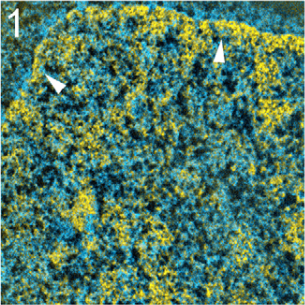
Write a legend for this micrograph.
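Chromatin is spread as fine speckles and small clusters throughout the nucleus, and only a thin rim of chromatin lines the nuclear membrane. No large compact blocks are present.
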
